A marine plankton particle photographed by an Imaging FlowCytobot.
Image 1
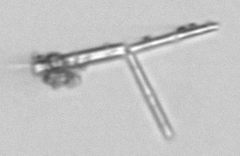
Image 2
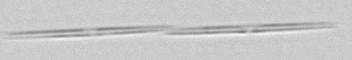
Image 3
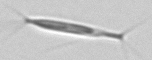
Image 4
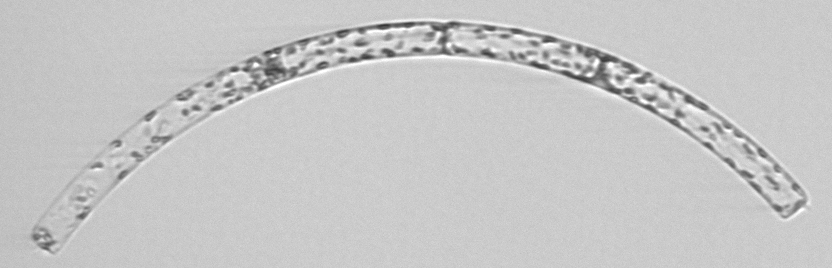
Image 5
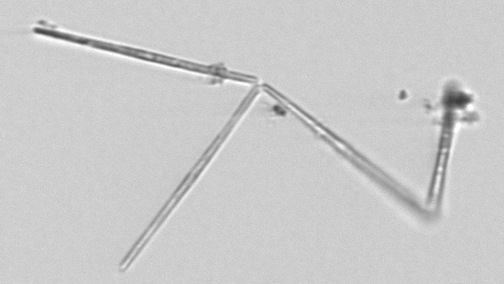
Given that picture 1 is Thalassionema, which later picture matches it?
5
